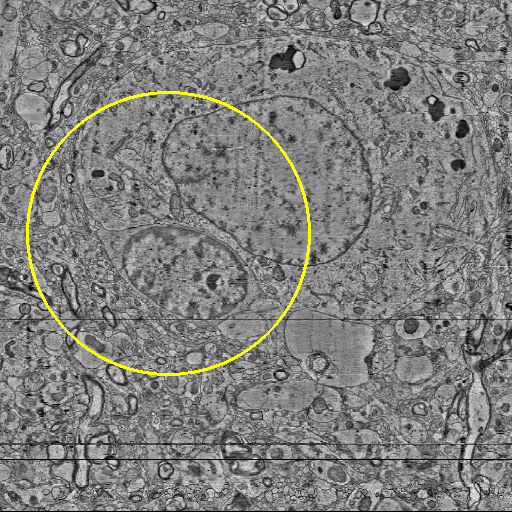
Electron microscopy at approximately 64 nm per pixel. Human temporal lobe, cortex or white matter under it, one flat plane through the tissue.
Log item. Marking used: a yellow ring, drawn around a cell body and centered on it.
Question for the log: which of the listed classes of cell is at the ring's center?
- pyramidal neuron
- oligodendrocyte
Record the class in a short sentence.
At the center of the ring lies an oligodendrocyte.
